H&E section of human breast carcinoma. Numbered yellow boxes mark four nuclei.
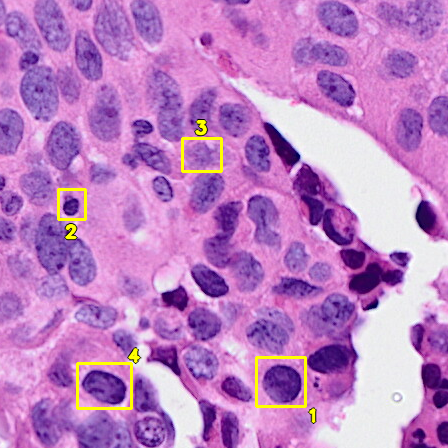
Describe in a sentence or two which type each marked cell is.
Cells 1, 3 and 4 are carcinoma cells. Cell 2 is a lymphocyte.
